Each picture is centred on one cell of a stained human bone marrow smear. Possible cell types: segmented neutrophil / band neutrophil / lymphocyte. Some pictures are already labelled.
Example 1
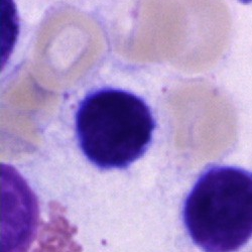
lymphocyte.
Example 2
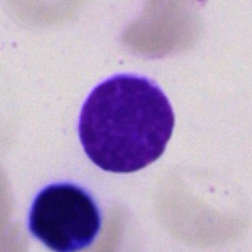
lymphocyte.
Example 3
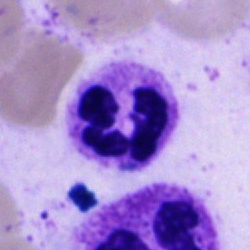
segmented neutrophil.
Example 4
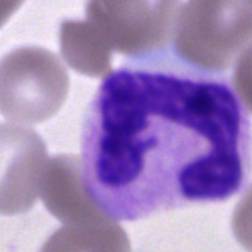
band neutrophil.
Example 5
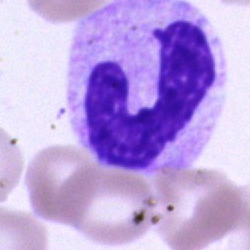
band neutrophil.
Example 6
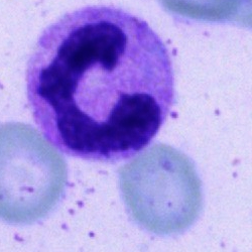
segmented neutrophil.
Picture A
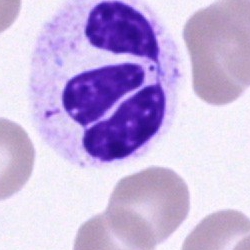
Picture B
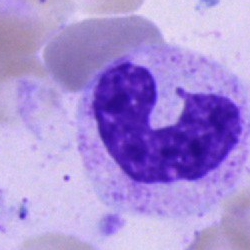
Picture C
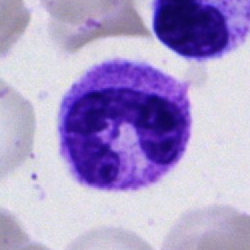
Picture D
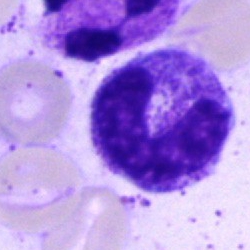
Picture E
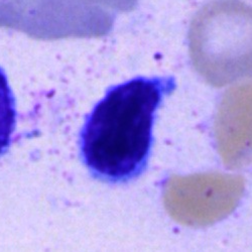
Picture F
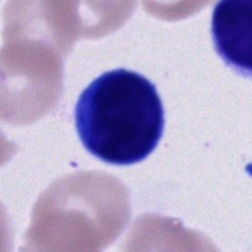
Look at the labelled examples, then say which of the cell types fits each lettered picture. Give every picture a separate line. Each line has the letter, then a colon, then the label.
A: segmented neutrophil.
B: band neutrophil.
C: band neutrophil.
D: band neutrophil.
E: lymphocyte.
F: lymphocyte.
